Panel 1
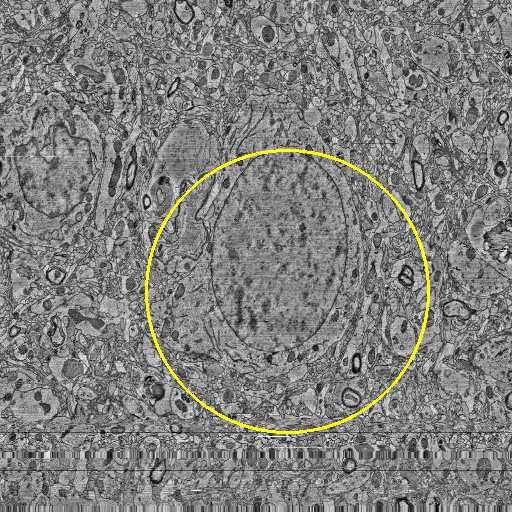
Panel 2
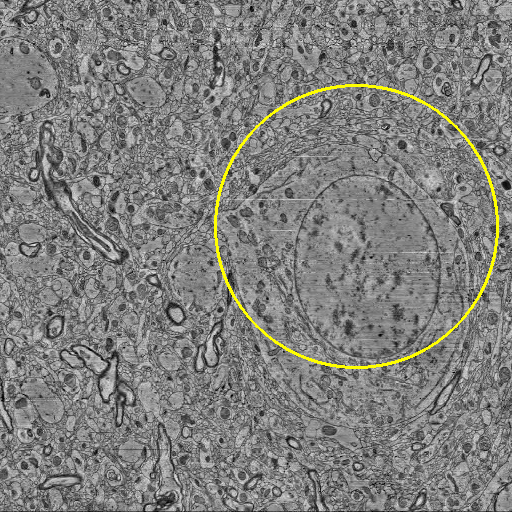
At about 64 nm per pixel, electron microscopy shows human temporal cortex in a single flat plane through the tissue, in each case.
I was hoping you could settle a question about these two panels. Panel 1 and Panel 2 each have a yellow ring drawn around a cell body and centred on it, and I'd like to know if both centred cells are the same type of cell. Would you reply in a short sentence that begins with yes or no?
Yes, both are the same type of cell.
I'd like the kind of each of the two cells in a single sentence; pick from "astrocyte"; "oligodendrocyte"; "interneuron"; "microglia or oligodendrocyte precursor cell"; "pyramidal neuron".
The second cell is a pyramidal neuron, just as the first is.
